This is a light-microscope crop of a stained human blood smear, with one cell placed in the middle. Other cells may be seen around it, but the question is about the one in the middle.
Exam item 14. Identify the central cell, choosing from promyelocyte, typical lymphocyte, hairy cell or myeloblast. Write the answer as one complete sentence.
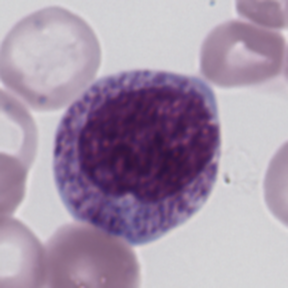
The central element of this crop is a cell, namely a promyelocyte.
